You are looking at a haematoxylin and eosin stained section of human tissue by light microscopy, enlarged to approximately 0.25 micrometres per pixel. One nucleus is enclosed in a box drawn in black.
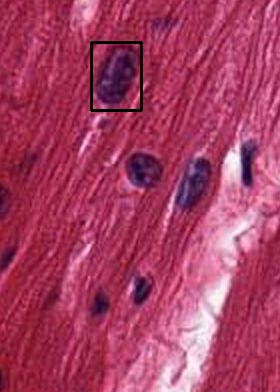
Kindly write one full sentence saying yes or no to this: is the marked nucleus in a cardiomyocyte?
Yes, the marked nucleus is identified as that of a cardiomyocyte.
